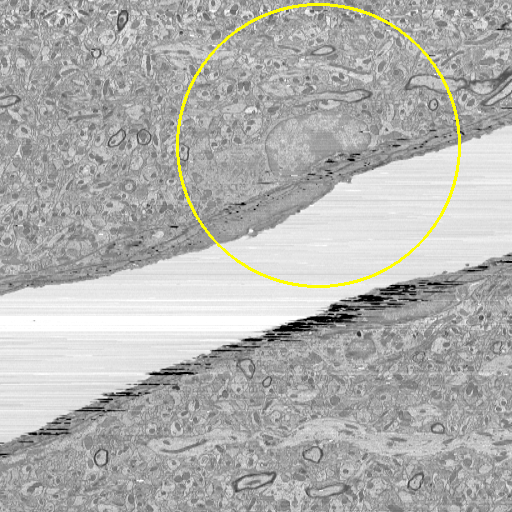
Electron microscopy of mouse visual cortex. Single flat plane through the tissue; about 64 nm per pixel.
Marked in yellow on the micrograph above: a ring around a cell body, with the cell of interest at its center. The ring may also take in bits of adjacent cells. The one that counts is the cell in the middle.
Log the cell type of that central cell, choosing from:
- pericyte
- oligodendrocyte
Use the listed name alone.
oligodendrocyte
